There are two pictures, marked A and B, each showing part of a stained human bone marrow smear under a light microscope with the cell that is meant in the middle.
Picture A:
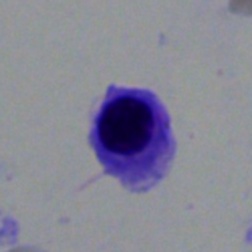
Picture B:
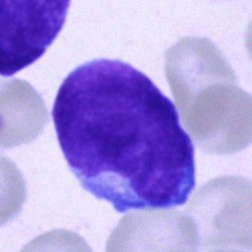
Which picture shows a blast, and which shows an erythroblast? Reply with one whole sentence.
The cell in picture A is an erythroblast, and the one in picture B is a blast.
